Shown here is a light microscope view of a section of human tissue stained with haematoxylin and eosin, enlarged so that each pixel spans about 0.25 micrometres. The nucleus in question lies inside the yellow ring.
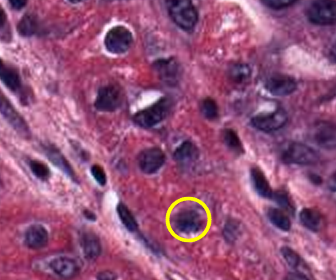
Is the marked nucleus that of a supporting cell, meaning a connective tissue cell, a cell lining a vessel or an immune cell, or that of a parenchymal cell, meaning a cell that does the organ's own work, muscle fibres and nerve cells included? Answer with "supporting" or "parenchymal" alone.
parenchymal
